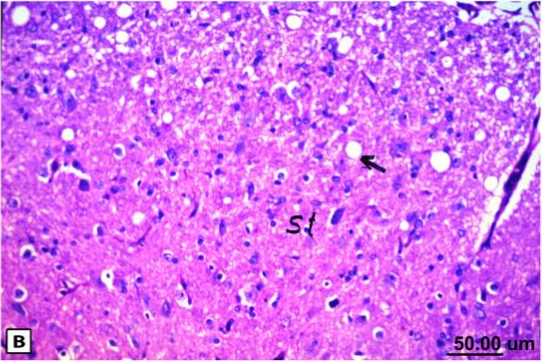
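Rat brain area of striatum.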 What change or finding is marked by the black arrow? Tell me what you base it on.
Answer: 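The arrow points at a round, empty, clear space in the pink neuropil. Many similar round clear spaces of varied size are scattered through the matrix, densest toward the top of the field.
Answer: vacuolization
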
